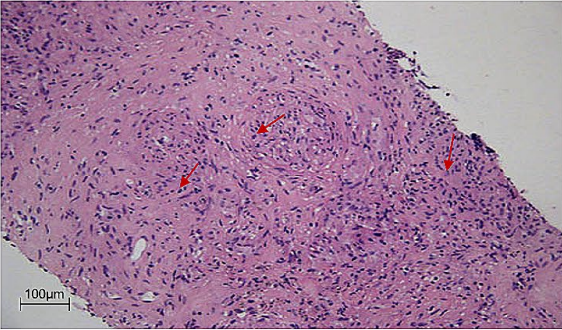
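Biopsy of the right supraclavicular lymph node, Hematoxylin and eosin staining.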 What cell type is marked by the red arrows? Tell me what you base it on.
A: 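Epithelioid histiocytes. The arrowed cells have elongated pale nuclei and pink cytoplasm. They are arranged in whorled, rounded nodules.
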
